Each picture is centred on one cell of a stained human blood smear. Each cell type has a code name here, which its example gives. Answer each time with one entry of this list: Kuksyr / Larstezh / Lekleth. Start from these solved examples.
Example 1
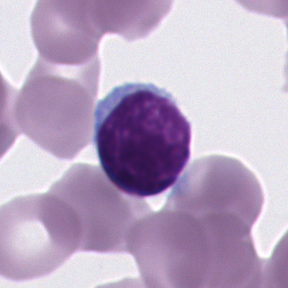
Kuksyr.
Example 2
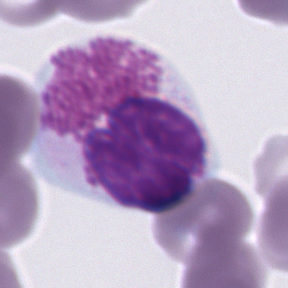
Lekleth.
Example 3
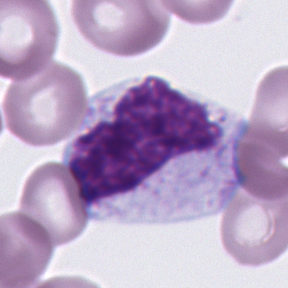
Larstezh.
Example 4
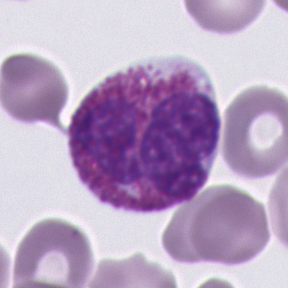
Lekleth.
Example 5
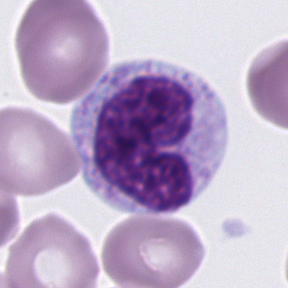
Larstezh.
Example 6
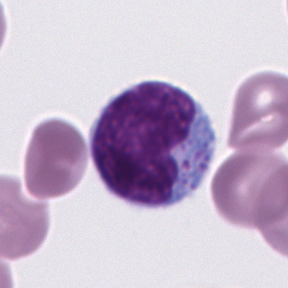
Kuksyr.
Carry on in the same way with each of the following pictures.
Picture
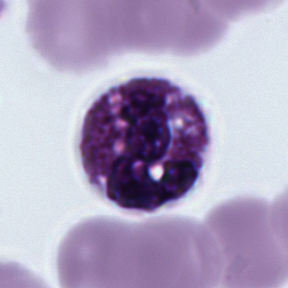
Lekleth.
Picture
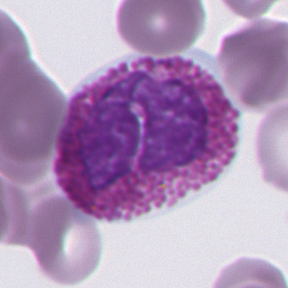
Lekleth.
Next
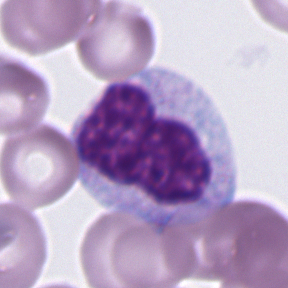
Larstezh.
